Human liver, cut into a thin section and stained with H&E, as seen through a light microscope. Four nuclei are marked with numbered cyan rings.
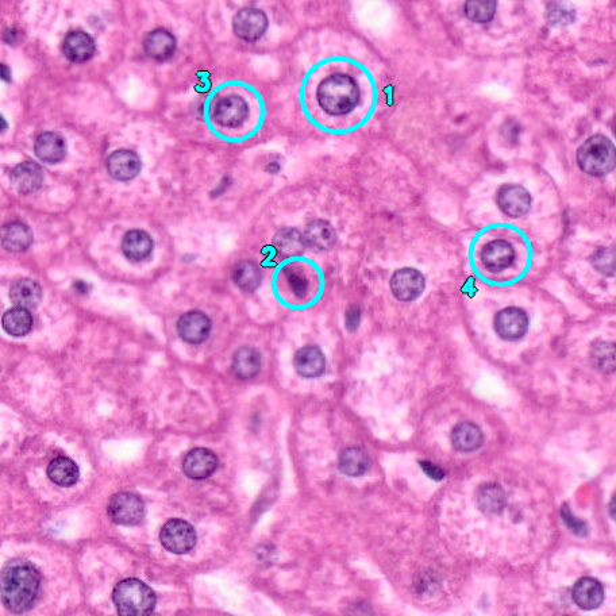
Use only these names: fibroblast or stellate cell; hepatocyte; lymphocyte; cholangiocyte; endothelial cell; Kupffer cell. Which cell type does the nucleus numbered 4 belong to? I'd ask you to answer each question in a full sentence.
The cell to which the number 4 is assigned is a hepatocyte.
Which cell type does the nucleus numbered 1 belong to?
Classified as a hepatocyte is the cell with the number 1.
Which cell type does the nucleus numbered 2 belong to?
In the tissue shown, cell 2 is a fibroblast or stellate cell.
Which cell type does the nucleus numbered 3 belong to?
To a hepatocyte belongs the nucleus marked 3.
